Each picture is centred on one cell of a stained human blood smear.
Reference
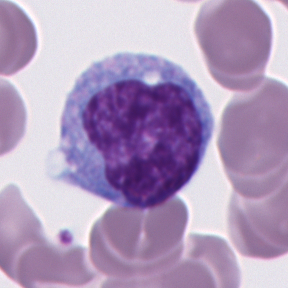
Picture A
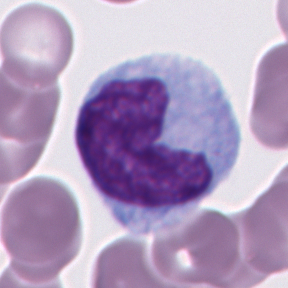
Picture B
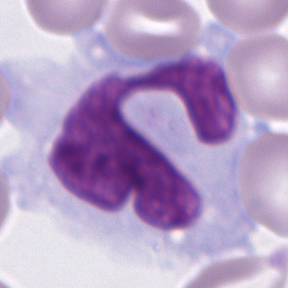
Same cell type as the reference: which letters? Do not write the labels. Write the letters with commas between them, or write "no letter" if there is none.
A, B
